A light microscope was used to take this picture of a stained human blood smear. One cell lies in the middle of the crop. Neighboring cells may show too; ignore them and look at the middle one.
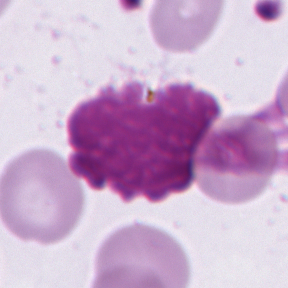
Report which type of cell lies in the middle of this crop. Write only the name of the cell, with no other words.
smudge cell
